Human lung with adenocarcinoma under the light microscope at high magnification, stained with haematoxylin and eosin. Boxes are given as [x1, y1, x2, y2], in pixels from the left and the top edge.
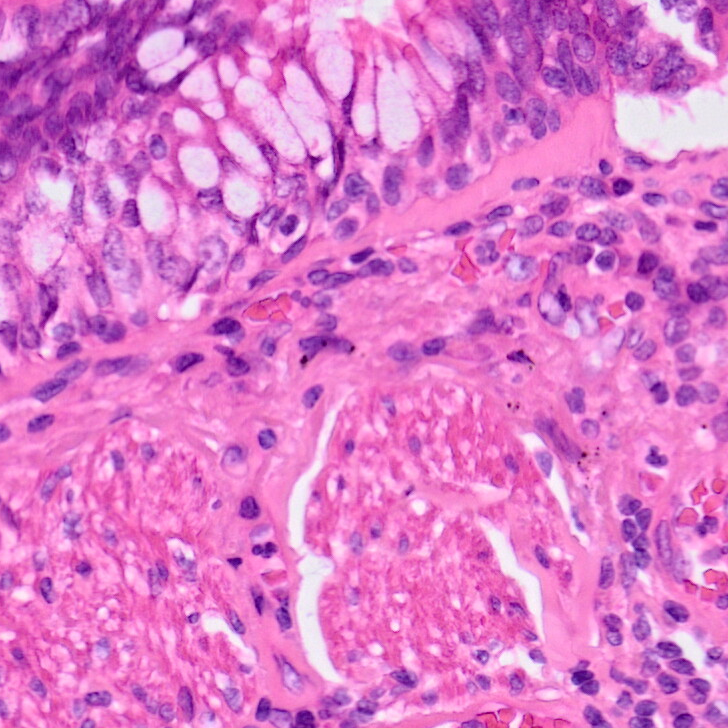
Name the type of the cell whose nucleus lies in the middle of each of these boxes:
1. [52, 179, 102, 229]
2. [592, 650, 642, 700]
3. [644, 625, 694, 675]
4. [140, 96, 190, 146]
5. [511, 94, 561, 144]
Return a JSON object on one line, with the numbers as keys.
{"1": "ciliated epithelial cell", "2": "lymphocyte", "3": "lymphocyte", "4": "ciliated epithelial cell", "5": "ciliated epithelial cell"}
